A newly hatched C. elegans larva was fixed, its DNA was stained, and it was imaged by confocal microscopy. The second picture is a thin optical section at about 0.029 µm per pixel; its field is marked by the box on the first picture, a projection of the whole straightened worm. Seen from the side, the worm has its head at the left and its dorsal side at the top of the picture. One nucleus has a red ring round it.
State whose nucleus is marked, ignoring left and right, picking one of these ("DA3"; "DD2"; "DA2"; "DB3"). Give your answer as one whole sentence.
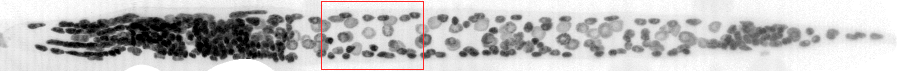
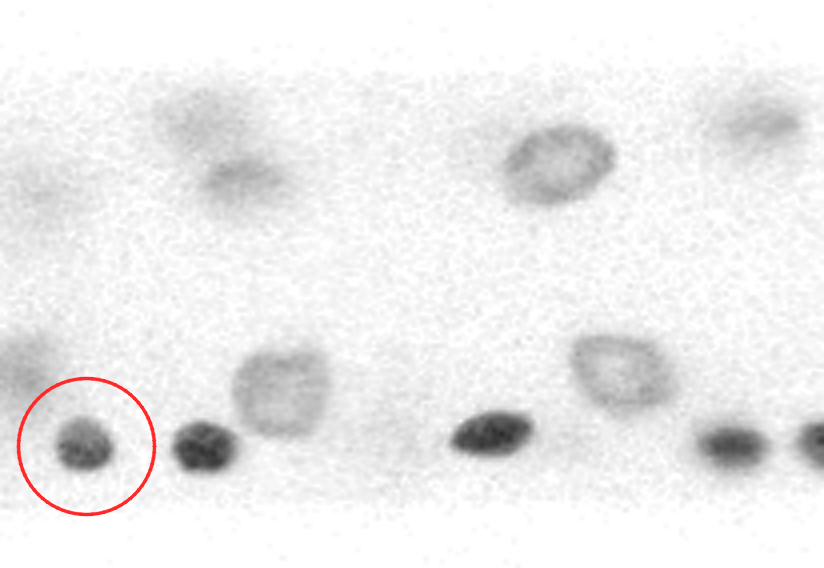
The marked nucleus is that of DB3, a neuron.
